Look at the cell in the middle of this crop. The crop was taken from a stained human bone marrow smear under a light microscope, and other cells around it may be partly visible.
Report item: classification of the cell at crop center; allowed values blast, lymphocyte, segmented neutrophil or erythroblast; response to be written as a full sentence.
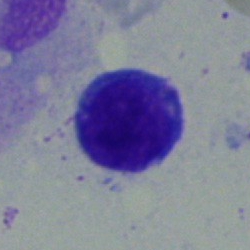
The centered cell in this crop is a lymphocyte.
